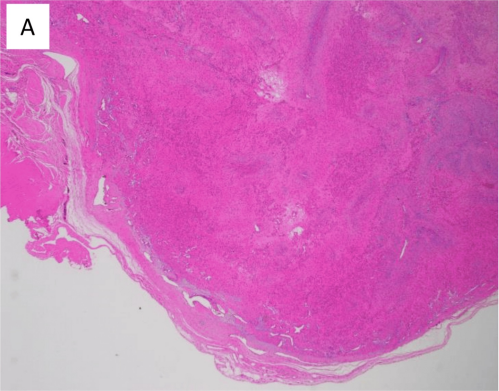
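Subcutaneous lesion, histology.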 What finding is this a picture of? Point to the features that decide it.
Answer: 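Well-circumscribed and solid. A dense pink cellular mass with a smooth, sharp rounded border.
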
